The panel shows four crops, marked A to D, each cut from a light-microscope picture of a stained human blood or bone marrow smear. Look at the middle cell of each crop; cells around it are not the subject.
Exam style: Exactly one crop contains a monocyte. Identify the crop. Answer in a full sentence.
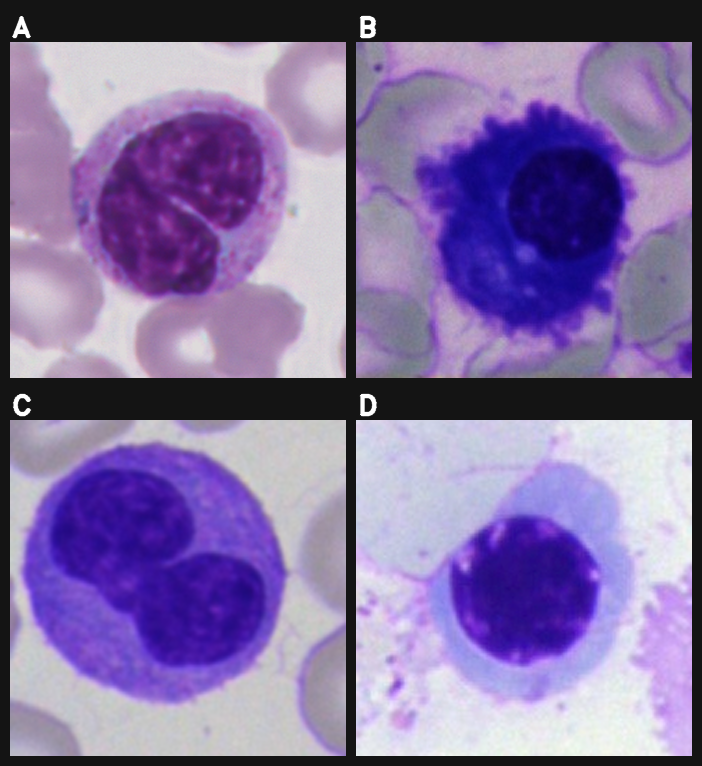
Crop C is the crop that shows a monocyte in its middle.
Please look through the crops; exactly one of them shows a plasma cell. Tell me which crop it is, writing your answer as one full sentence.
The correct choice is crop B, the one showing a plasma cell.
